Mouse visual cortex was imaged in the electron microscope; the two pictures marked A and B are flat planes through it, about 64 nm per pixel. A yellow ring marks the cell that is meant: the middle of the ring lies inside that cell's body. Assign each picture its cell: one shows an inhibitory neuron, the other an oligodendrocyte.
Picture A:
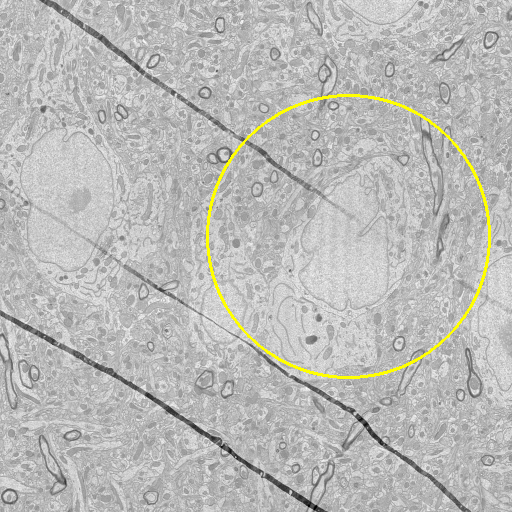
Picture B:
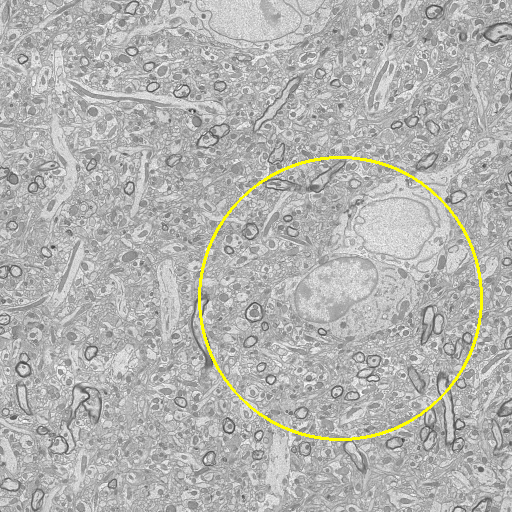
In picture A the cell is an inhibitory neuron; in picture B, an oligodendrocyte.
